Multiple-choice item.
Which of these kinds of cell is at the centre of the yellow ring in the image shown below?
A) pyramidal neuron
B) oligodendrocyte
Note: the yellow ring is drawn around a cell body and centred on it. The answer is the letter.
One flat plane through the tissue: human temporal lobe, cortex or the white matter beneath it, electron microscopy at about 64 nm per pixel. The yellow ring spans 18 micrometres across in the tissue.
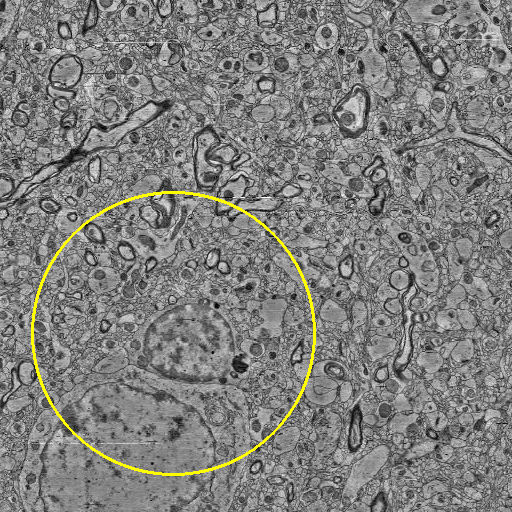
B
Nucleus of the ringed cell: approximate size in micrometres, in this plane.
Roughly 6 micrometres across, measured in this plane.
